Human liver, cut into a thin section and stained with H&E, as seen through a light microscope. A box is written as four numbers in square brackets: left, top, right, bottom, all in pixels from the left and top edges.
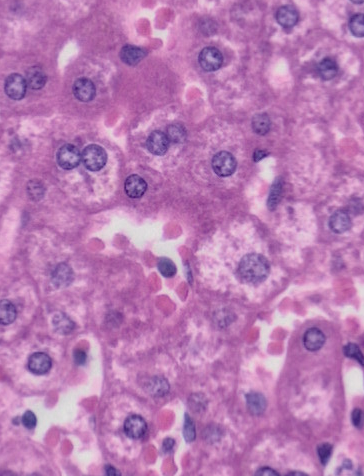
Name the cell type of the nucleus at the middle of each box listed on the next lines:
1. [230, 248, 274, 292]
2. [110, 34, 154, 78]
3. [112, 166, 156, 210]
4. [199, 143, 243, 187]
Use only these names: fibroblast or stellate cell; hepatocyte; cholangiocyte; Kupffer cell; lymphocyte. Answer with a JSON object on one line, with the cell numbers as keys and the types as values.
{"1": "hepatocyte", "2": "fibroblast or stellate cell", "3": "hepatocyte", "4": "hepatocyte"}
